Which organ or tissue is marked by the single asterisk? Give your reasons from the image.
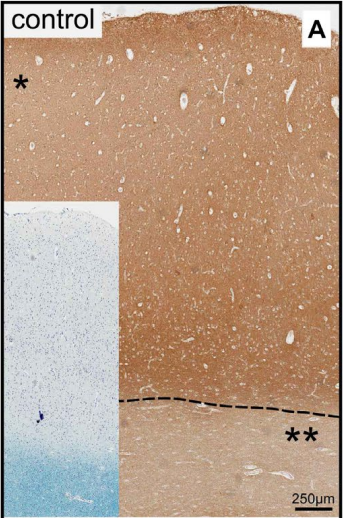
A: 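Cortex. The region above the dashed line is intensely brown with scattered cell bodies and vessels.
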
